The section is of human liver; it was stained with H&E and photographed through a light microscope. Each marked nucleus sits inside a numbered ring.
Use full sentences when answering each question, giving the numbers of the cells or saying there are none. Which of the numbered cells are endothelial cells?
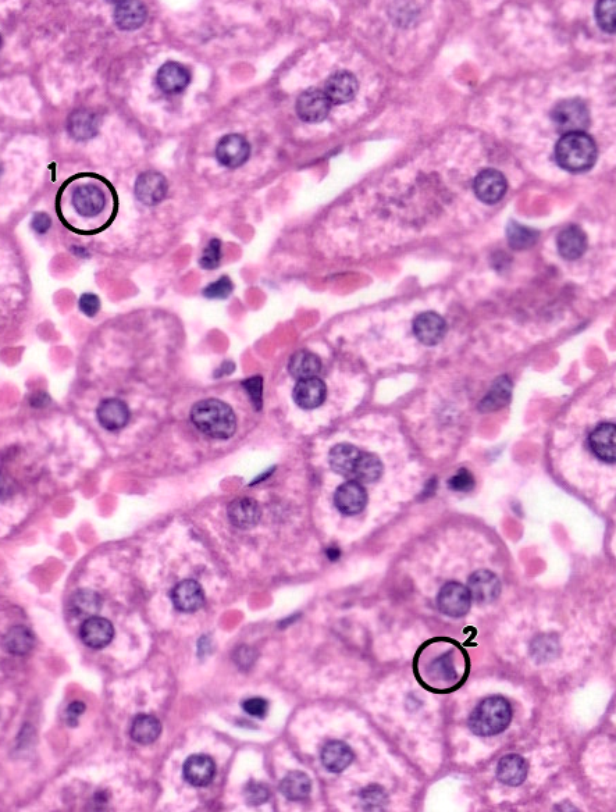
Only at number 2 is there an endothelial cell among the marked cells.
